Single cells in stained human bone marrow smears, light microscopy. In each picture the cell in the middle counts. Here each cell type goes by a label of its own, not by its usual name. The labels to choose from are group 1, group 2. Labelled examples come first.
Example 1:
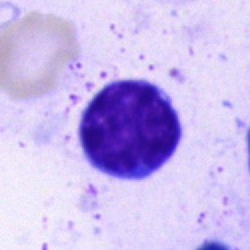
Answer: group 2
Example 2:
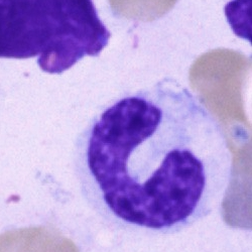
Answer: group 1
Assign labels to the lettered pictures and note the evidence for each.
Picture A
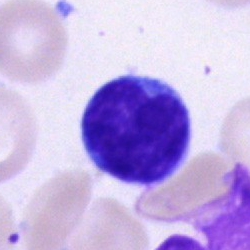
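group 2. Reason: Cytoplasm is scant, seen mainly as a small pale blue patch at the top edge.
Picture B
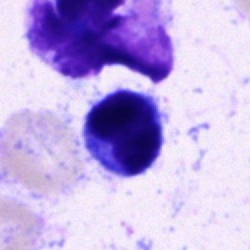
group 2. Reason: The nucleus fills most of the cell.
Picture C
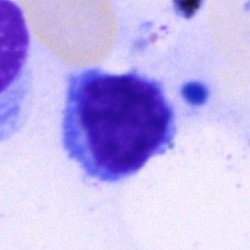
group 2. Reason: The nucleus fills most of the cell and sits toward the upper right.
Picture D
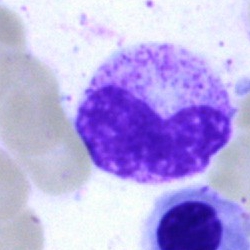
group 1. Reason: Numerous purple granules are scattered through the cytoplasm.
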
